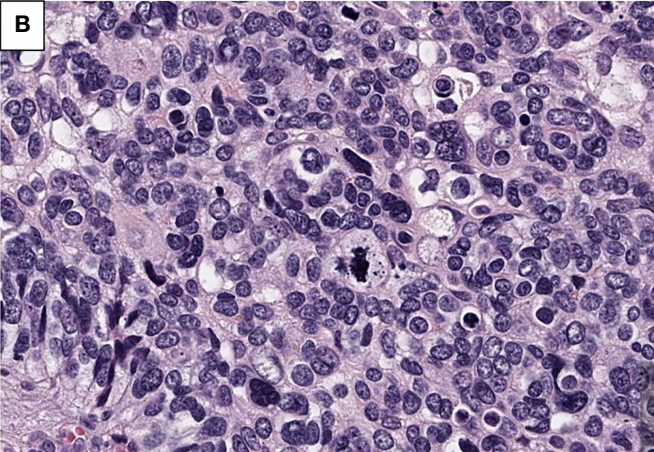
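Tumor cells at high magnification, crowded in a solid sheet. Nuclei are large, oval to irregular, vary in size and shape, with vesicular chromatin and small nucleoli; a mitotic figure with clumped dark chromatin is present.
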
